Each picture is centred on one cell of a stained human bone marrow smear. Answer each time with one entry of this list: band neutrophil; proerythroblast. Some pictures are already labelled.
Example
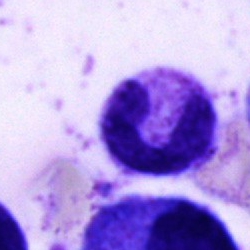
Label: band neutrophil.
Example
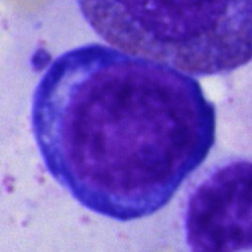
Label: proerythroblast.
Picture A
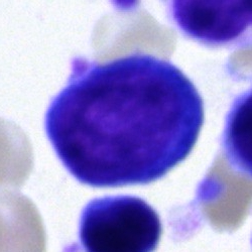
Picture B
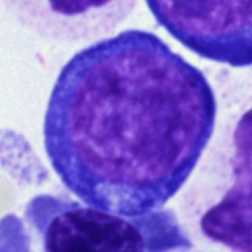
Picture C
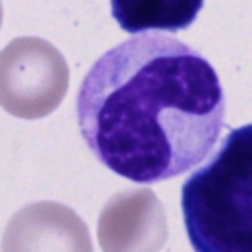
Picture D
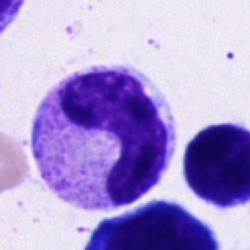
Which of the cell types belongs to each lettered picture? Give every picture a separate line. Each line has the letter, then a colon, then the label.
A: proerythroblast.
B: proerythroblast.
C: band neutrophil.
D: band neutrophil.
